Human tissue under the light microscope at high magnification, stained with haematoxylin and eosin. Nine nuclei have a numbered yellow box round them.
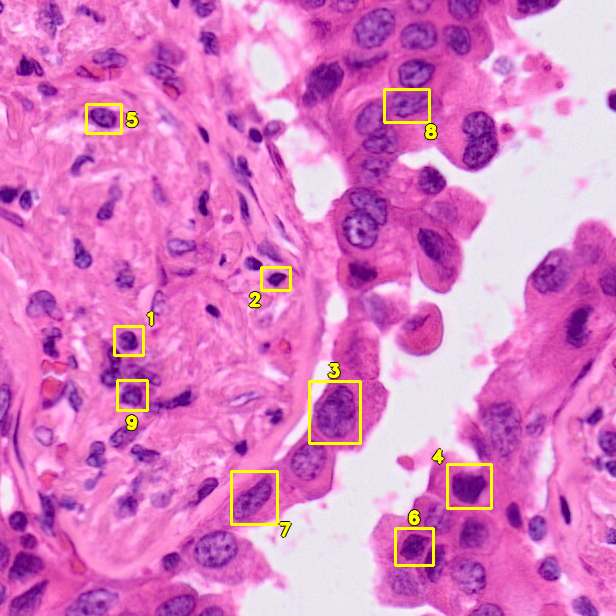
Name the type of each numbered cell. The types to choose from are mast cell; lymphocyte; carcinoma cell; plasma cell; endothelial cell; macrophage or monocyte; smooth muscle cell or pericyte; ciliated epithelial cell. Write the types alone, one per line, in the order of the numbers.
lymphocyte
lymphocyte
carcinoma cell
carcinoma cell
plasma cell
carcinoma cell
carcinoma cell
carcinoma cell
plasma cell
